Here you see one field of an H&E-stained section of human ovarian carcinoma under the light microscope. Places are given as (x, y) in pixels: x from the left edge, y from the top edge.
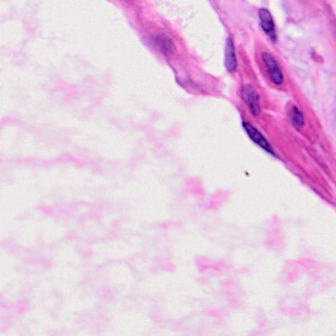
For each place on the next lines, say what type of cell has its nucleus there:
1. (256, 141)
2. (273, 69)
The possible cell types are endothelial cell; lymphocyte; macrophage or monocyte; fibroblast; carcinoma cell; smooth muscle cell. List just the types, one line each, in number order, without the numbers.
endothelial cell
smooth muscle cell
